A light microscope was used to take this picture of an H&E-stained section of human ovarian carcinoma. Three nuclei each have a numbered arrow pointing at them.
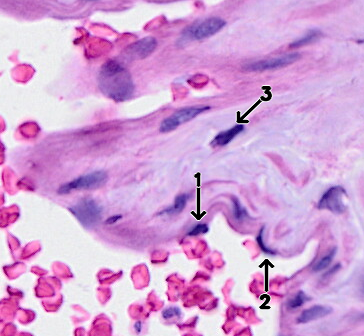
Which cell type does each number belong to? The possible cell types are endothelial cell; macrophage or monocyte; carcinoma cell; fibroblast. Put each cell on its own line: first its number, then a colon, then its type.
1: endothelial cell
2: endothelial cell
3: fibroblast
